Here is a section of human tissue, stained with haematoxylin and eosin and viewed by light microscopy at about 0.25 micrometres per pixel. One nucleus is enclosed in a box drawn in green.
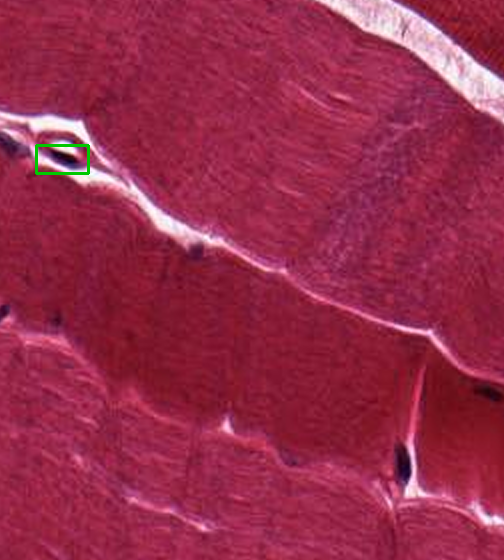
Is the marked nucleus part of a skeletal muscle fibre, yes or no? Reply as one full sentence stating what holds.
No, the marked nucleus is carried by a supporting cell rather than by a skeletal muscle fibre.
